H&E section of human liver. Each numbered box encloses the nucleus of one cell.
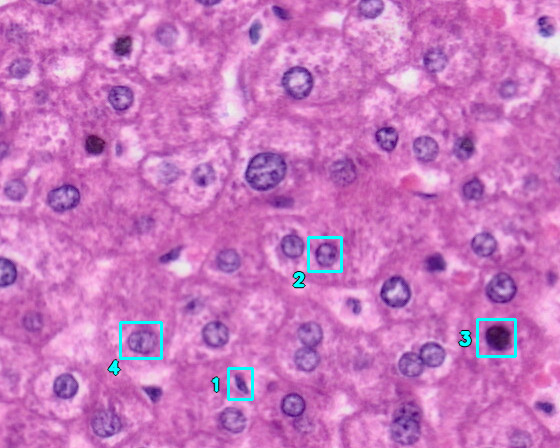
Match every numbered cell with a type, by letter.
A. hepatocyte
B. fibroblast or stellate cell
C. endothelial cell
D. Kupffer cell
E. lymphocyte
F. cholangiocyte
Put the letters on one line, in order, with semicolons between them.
C; A; A; A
